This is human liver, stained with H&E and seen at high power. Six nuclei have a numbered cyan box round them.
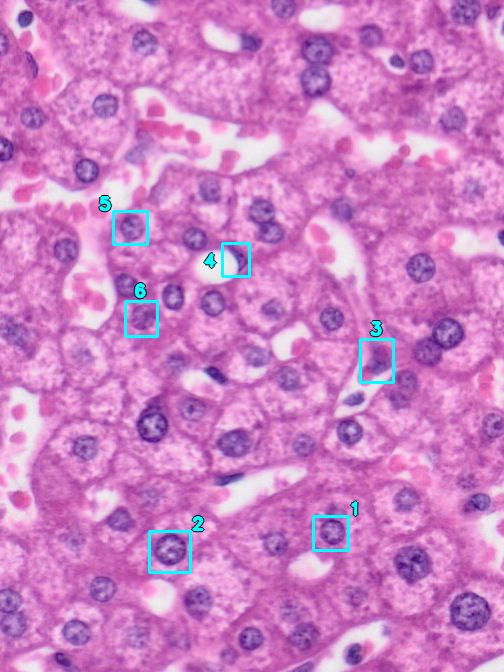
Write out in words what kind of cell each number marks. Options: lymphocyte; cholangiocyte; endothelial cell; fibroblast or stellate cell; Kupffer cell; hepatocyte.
Cells 1, 2, 5 and 6 are hepatocytes. Cell 3 is a Kupffer cell. Cell 4 is an endothelial cell.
